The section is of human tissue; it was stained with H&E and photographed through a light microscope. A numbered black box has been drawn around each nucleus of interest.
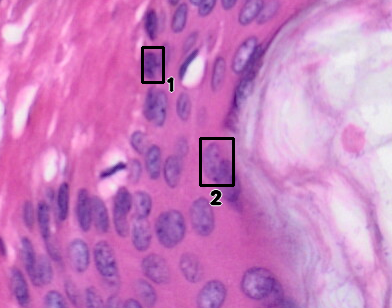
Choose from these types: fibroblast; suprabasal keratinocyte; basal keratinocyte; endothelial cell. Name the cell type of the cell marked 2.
suprabasal keratinocyte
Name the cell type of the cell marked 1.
basal keratinocyte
